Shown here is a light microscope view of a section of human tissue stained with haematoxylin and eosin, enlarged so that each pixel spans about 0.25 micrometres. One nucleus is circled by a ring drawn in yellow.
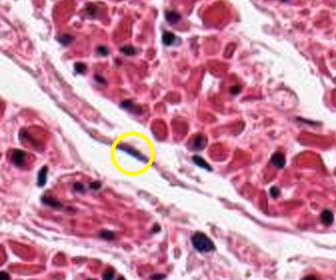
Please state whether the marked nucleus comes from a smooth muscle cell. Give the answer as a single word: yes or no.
no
